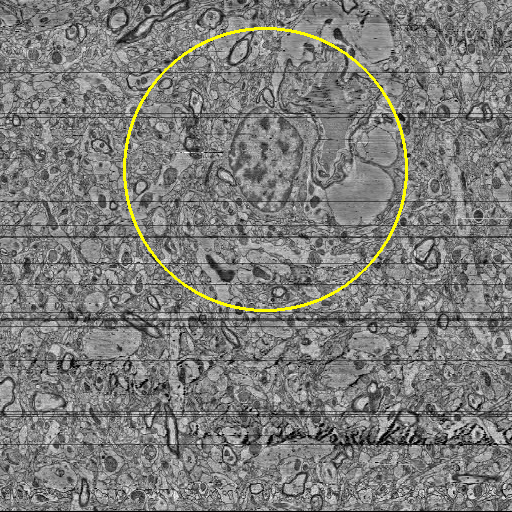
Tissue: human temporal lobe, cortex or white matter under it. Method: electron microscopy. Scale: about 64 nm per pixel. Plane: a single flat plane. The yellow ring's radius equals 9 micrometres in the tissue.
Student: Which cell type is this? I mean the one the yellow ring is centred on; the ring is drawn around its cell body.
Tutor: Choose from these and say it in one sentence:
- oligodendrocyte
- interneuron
The cell the ring is centred on is an oligodendrocyte.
